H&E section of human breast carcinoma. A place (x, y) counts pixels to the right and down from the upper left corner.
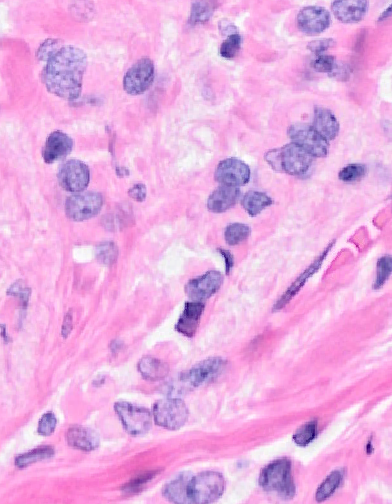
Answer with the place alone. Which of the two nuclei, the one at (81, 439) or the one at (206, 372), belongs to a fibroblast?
(206, 372)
